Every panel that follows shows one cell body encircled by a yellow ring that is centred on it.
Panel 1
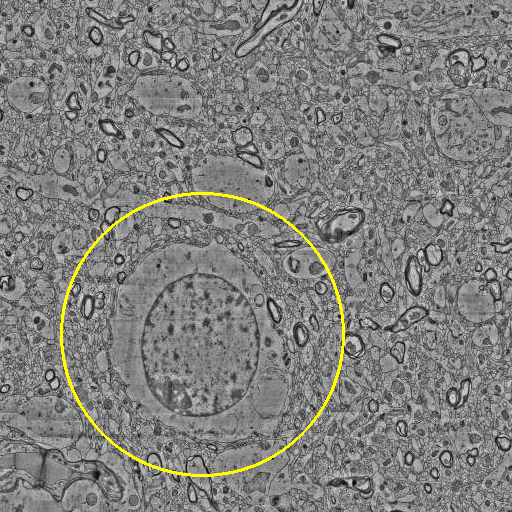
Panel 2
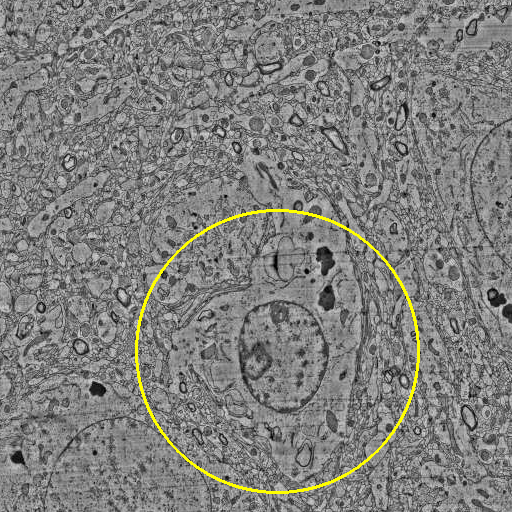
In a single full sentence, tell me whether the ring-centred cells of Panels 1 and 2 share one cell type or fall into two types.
In Panel 1 and Panel 2, the cells at the ring centres share one cell type.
